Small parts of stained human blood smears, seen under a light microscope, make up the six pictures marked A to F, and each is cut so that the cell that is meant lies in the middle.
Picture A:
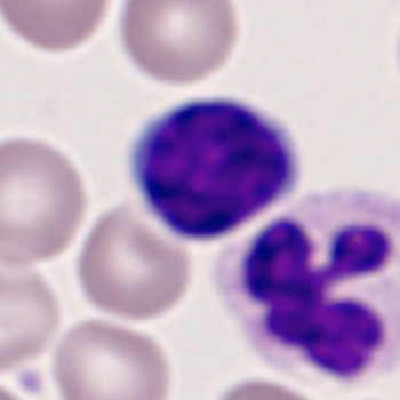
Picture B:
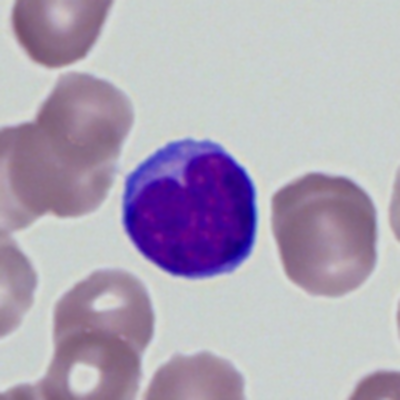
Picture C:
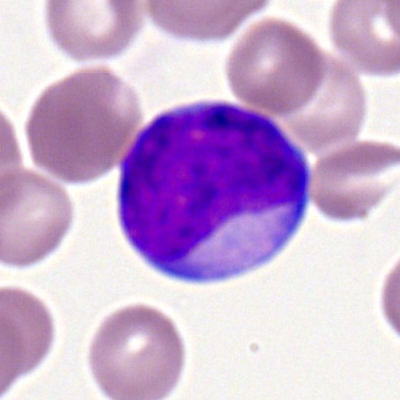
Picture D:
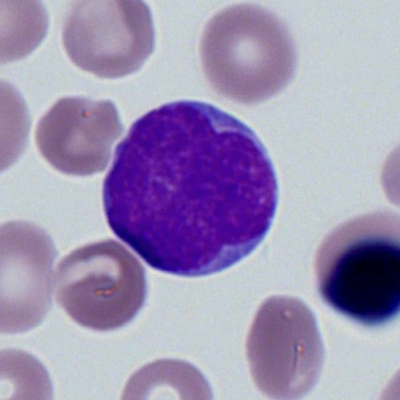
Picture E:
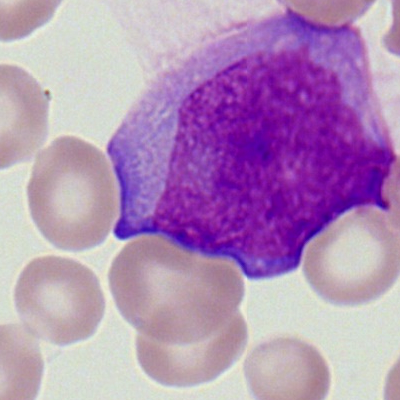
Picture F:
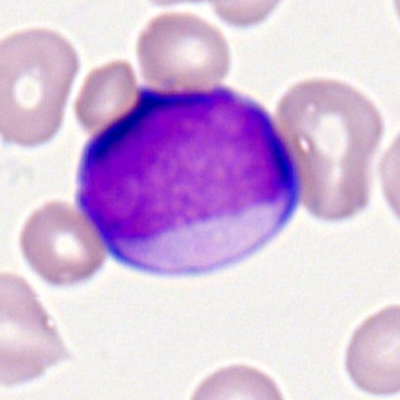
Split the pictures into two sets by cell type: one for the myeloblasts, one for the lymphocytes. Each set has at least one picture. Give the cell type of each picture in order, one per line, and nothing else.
lymphocyte
lymphocyte
myeloblast
myeloblast
myeloblast
myeloblast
